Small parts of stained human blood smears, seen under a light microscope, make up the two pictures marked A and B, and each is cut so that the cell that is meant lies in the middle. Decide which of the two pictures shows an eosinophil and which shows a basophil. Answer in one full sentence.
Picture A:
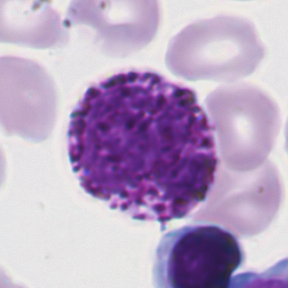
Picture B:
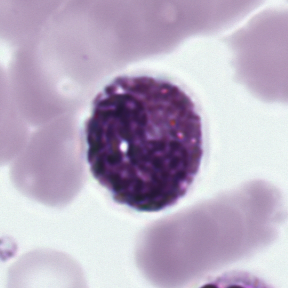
Picture B shows an eosinophil, while picture A shows a basophil.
